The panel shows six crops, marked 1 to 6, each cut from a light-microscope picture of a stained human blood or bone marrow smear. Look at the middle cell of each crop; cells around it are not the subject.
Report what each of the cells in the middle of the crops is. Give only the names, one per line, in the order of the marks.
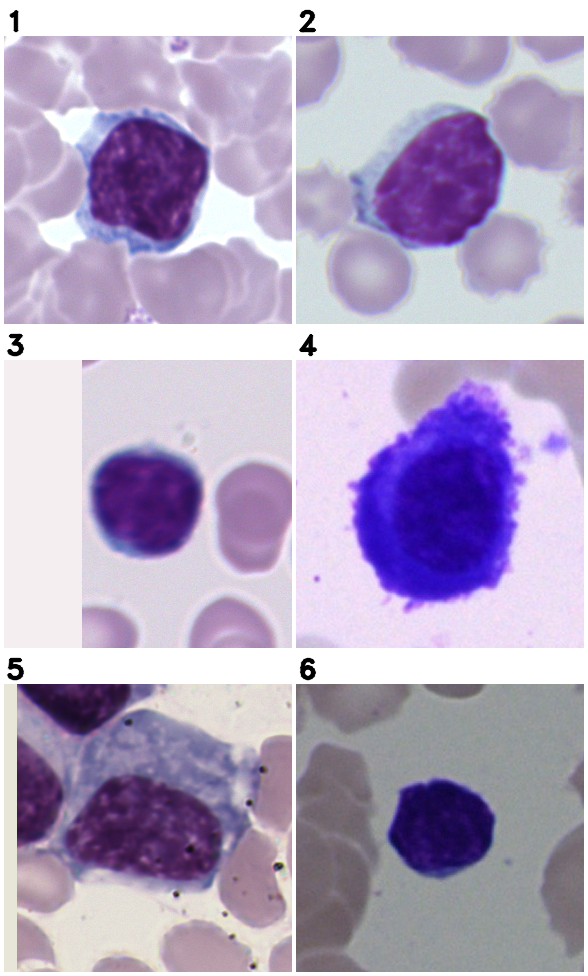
lymphocyte
lymphocyte
lymphocyte
plasma cell
plasma cell
lymphocyte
